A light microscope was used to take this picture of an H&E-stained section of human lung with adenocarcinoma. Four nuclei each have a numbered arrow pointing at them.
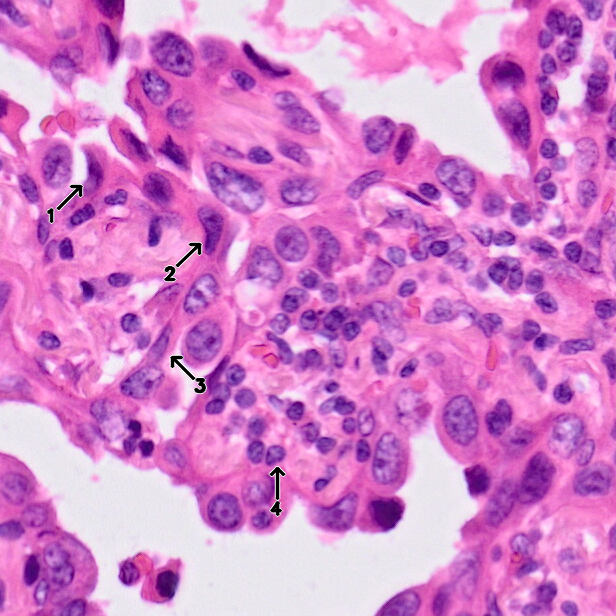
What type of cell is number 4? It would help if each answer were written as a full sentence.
Belonging to a lymphocyte is the nucleus that carries the number 4.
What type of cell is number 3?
In this section, the cell numbered 3 is a carcinoma cell.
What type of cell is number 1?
Looking at the numbered marks, cell 1 is a carcinoma cell.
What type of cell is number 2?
The cell referenced by the number 2 is a carcinoma cell in this field.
